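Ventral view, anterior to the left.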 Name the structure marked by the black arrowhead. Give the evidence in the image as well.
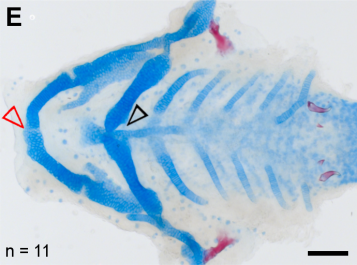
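The black arrowhead points at a pair of thick blue cartilage rods meeting at the midline behind the lower jaw arc. The rods form a V pointing anteriorly. The answer: ceratohyal.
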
